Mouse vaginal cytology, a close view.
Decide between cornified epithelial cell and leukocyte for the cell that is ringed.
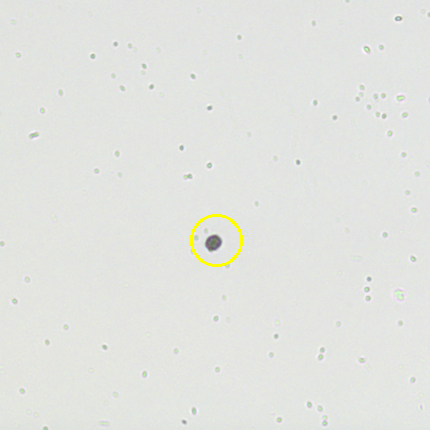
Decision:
I take the ringed cell for a leukocyte.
